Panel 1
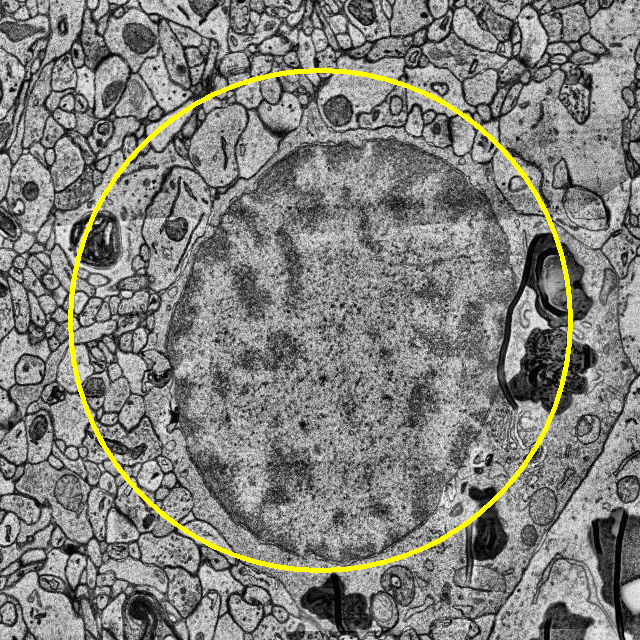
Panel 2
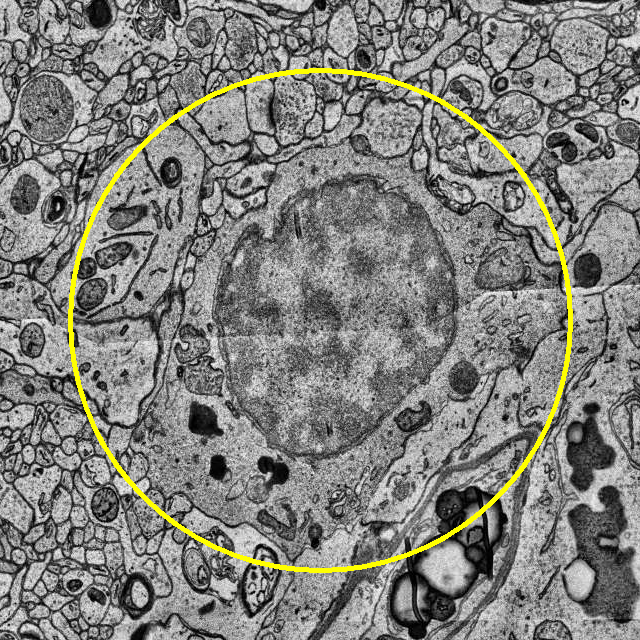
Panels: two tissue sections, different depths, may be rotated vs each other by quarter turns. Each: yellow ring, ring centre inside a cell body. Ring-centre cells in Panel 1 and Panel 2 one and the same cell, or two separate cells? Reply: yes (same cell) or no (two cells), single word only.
yes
